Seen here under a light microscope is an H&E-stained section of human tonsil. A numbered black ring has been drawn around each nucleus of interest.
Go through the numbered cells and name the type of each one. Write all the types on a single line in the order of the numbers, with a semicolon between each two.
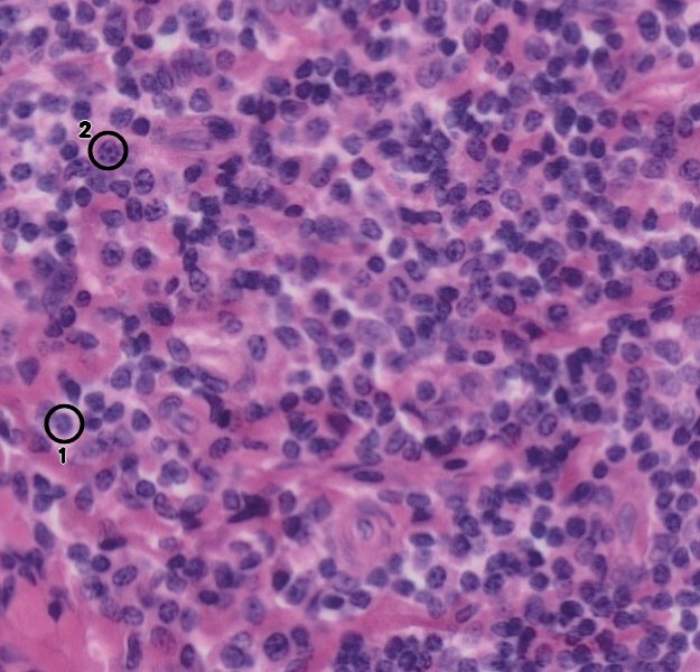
mast cell; plasma cell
